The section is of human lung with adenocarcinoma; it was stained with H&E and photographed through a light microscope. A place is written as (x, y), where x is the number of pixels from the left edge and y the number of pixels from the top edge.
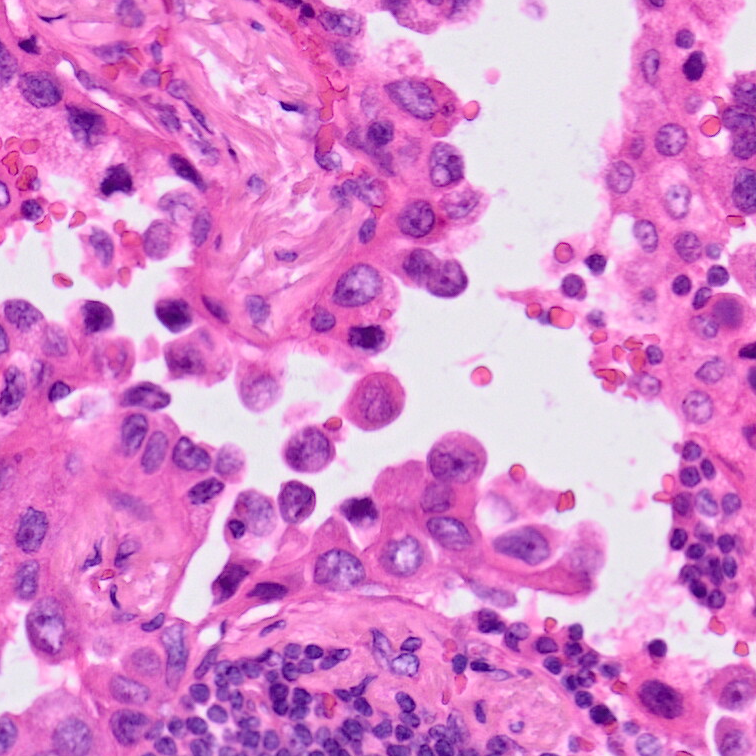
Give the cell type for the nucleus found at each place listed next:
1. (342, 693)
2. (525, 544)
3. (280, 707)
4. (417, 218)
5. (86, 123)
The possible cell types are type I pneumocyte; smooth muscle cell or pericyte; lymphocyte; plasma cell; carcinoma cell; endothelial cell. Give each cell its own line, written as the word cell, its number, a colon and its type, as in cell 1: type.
cell 1: lymphocyte
cell 2: carcinoma cell
cell 3: lymphocyte
cell 4: carcinoma cell
cell 5: carcinoma cell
